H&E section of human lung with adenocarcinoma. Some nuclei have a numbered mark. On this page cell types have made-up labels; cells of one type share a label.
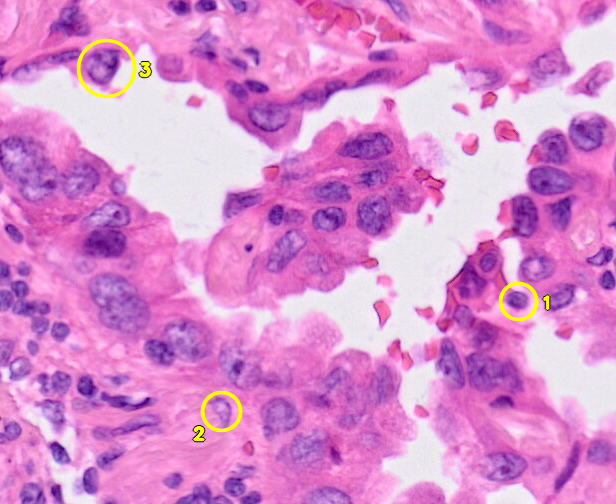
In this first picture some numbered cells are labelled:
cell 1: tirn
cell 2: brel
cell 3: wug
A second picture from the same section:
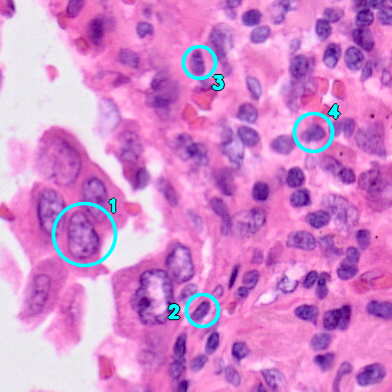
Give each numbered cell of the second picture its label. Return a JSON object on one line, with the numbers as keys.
{"1": "wug", "2": "tirn", "3": "tirn", "4": "tirn"}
